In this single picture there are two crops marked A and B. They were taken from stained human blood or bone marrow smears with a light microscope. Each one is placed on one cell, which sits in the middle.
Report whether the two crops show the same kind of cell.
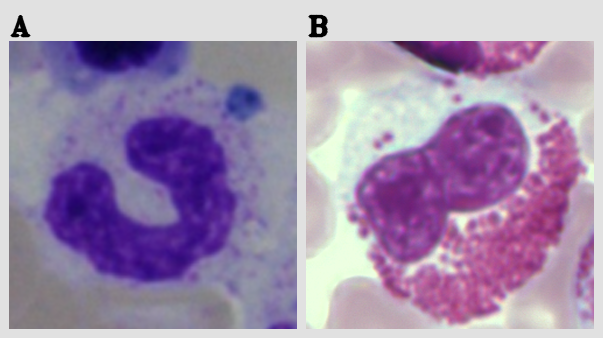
no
